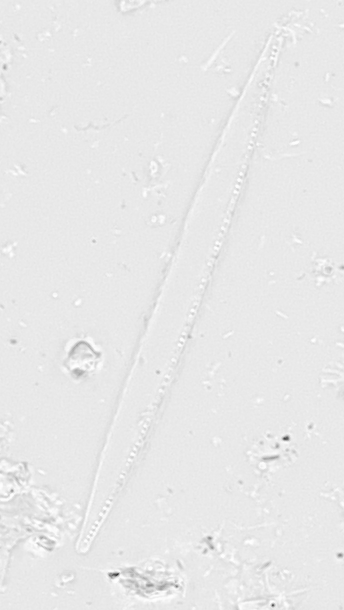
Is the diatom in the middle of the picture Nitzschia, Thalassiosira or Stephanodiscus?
It is Nitzschia.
